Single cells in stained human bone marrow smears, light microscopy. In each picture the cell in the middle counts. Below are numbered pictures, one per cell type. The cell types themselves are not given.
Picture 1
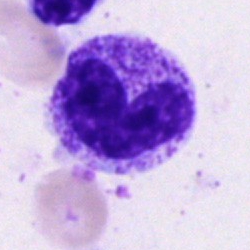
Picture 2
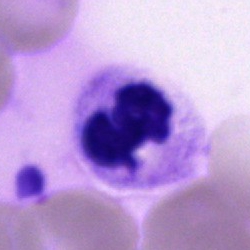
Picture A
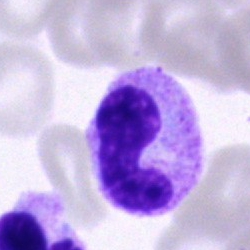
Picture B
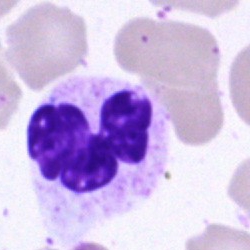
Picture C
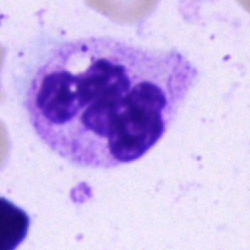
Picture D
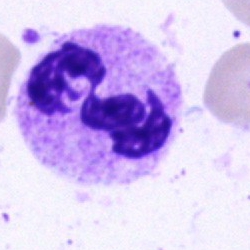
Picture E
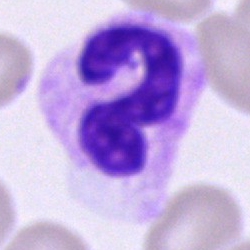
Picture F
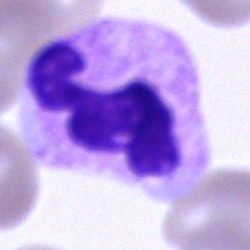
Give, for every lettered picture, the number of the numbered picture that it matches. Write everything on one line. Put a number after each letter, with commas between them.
A 1, B 2, C 2, D 2, E 1, F 2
